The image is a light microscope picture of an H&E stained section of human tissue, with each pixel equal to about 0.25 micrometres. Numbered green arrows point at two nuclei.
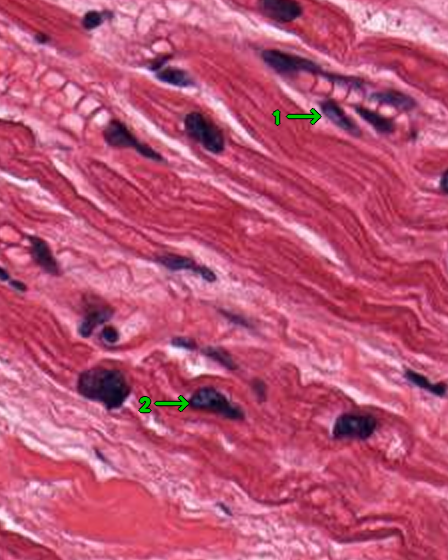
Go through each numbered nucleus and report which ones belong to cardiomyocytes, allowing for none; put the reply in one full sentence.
The only numbered nucleus held by a cardiomyocyte is nucleus 2.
